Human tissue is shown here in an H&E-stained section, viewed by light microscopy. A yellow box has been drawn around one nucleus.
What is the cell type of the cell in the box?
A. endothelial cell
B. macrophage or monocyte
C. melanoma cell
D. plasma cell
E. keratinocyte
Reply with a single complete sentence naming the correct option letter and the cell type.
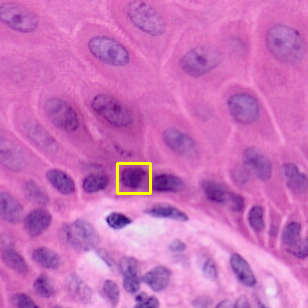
Of the options given, E is right: the cell in the box is a keratinocyte.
